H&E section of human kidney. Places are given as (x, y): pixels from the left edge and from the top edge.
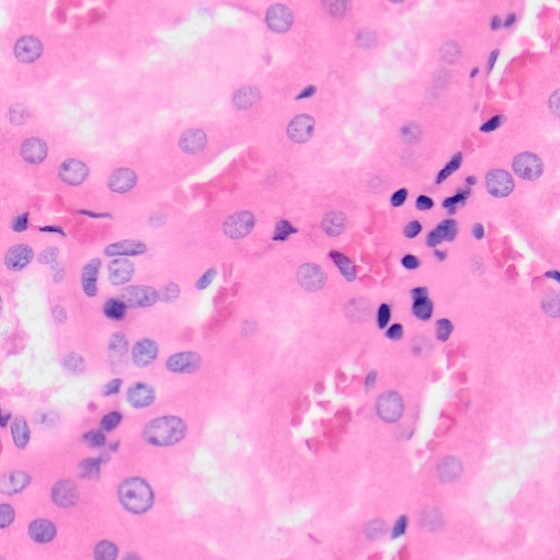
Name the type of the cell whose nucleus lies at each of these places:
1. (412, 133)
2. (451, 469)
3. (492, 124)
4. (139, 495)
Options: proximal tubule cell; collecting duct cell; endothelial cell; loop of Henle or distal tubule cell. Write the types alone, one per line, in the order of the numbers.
proximal tubule cell
proximal tubule cell
endothelial cell
proximal tubule cell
